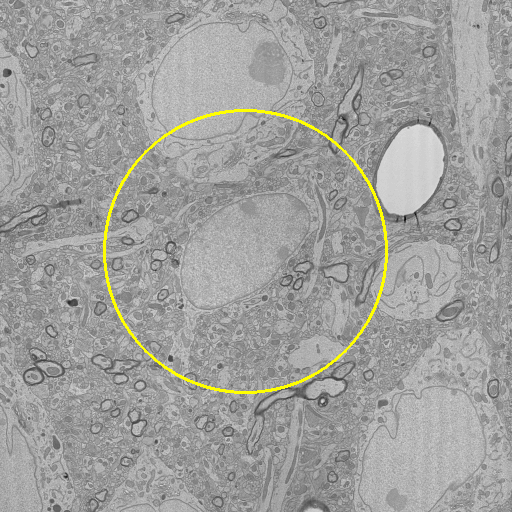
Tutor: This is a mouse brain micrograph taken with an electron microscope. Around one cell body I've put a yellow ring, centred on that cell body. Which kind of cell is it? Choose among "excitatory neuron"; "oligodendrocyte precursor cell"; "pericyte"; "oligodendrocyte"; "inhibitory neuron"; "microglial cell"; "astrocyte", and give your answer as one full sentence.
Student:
Going by your list, the cell centred in the yellow ring is an astrocyte.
